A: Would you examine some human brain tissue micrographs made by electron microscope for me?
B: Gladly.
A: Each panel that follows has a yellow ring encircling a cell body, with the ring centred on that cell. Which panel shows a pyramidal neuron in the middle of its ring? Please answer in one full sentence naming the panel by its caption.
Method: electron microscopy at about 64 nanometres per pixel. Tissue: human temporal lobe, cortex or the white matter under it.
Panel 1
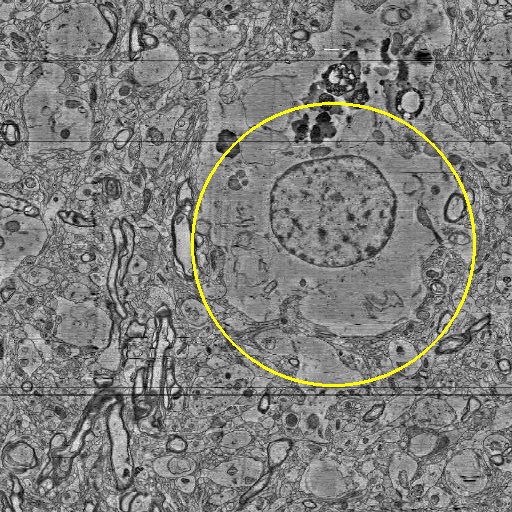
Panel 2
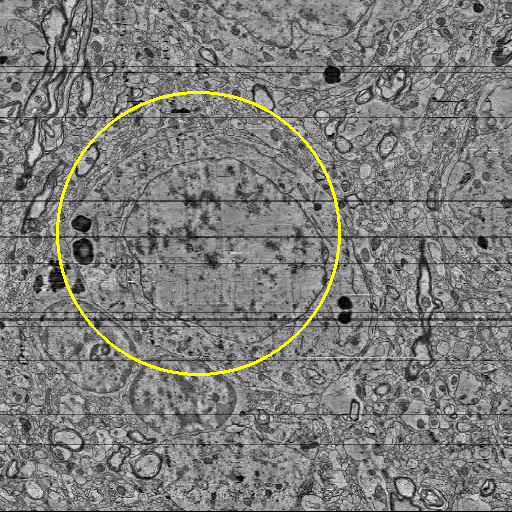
Panel 2 is where the ring sits centred on the requested cell.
